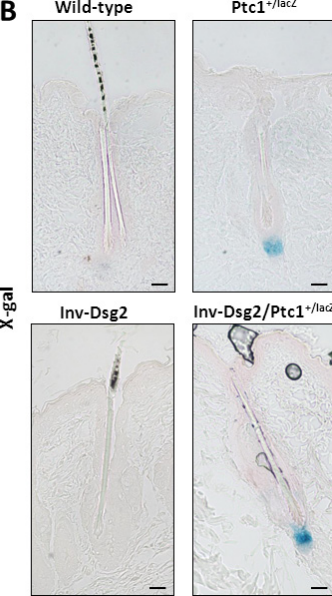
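Four sections of skin each show a hair follicle as a long narrow sheath of cells running obliquely down from the surface into the dermis, some holding a pigmented or pale hair shaft. In two of the sections the deep bulb of the follicle is stained blue, while in the other two it stays pale, with only faint pink counterstain throughout.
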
